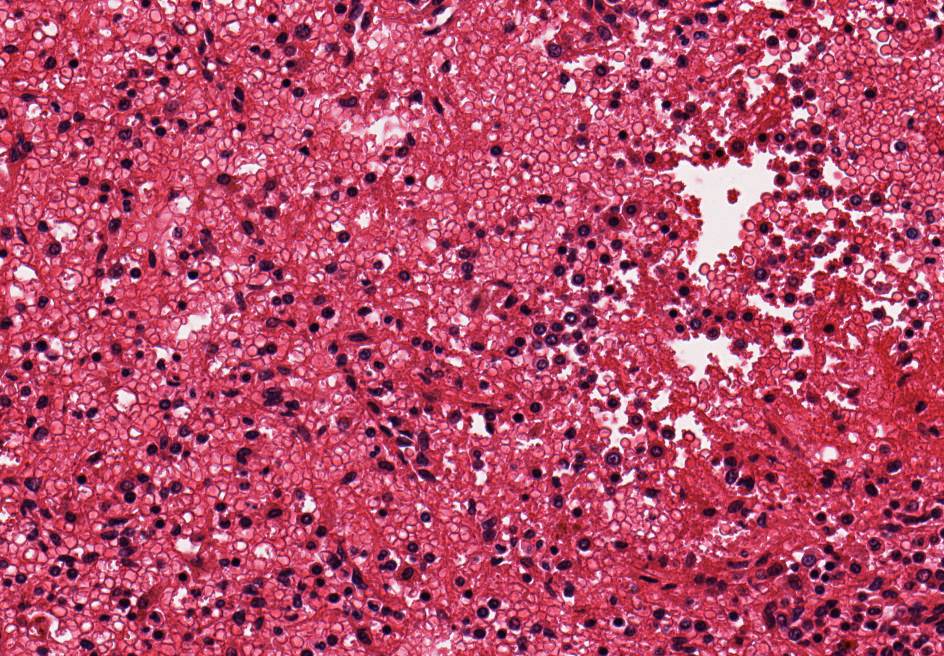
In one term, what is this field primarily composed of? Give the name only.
red pulp of the spleen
